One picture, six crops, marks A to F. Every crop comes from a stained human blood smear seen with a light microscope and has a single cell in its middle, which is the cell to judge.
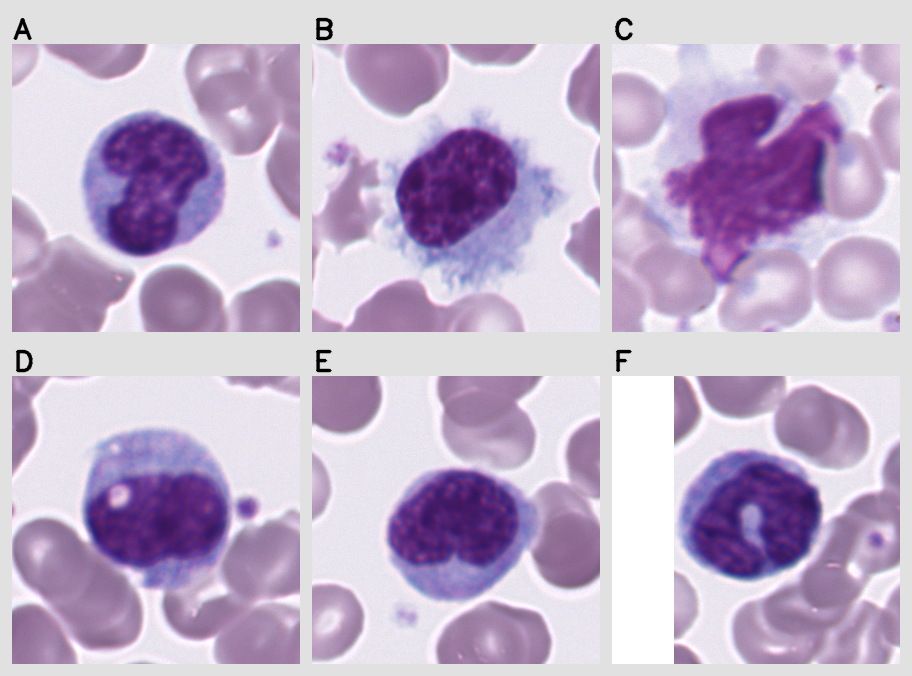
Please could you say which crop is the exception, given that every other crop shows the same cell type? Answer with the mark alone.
B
